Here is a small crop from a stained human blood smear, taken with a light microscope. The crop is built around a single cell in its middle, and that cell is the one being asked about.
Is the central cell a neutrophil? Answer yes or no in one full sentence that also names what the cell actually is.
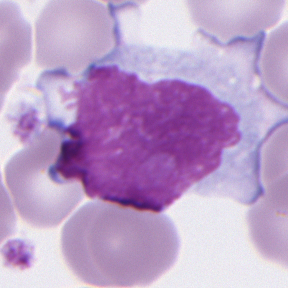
No, the middle of this crop is occupied by a monocyte rather than a neutrophil.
